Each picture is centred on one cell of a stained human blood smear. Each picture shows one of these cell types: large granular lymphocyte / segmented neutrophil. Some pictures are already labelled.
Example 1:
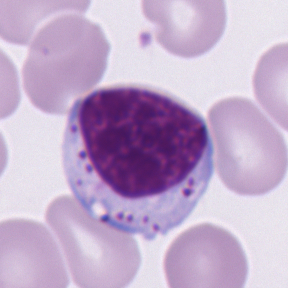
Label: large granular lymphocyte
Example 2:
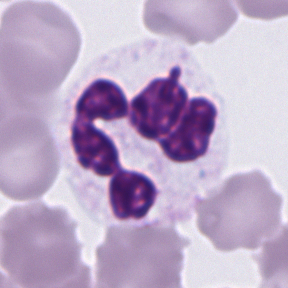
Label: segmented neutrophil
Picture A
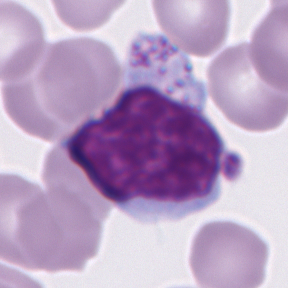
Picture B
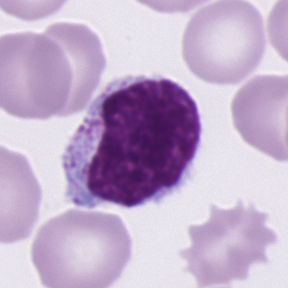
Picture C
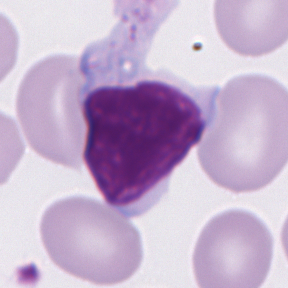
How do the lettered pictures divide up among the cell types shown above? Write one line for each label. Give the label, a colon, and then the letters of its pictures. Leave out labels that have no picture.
large granular lymphocyte: A, B, C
